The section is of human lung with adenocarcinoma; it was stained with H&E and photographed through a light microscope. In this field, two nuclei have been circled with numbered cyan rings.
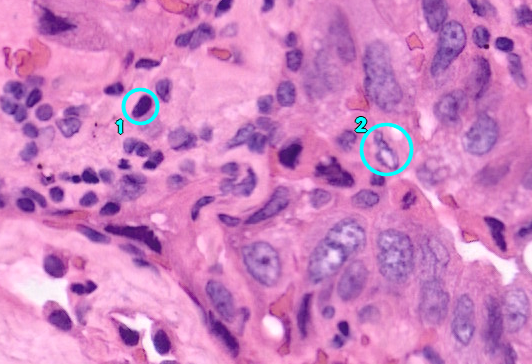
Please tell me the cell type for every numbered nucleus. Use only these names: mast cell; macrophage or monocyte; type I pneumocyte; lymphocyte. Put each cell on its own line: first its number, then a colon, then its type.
1: lymphocyte
2: macrophage or monocyte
